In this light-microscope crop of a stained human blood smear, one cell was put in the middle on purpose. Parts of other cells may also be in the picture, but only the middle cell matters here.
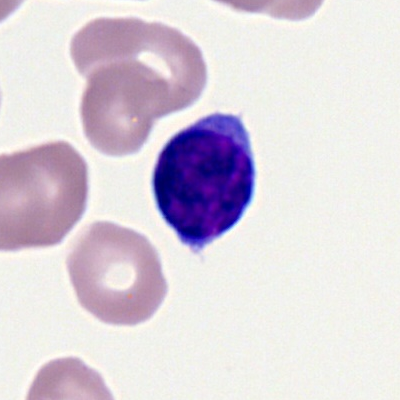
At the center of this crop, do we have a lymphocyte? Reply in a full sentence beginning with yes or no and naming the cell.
Yes, the cell in the middle of this smear crop is a lymphocyte.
